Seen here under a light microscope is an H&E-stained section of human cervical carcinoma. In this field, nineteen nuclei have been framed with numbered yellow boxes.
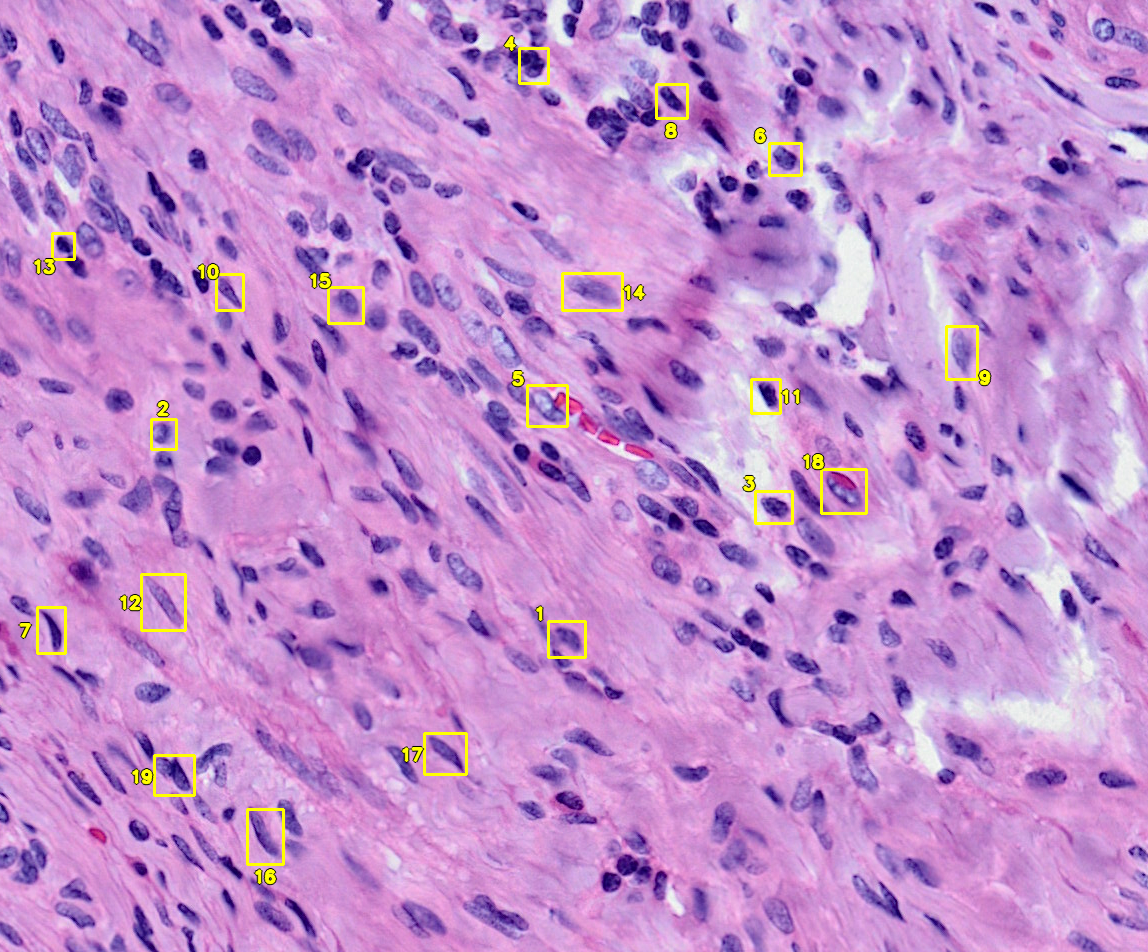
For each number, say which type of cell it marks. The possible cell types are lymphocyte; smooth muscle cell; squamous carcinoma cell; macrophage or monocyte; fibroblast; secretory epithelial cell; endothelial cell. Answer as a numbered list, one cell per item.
1. fibroblast
2. fibroblast
3. lymphocyte
4. lymphocyte
5. endothelial cell
6. lymphocyte
7. fibroblast
8. lymphocyte
9. fibroblast
10. fibroblast
11. lymphocyte
12. smooth muscle cell
13. lymphocyte
14. fibroblast
15. fibroblast
16. fibroblast
17. fibroblast
18. endothelial cell
19. fibroblast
